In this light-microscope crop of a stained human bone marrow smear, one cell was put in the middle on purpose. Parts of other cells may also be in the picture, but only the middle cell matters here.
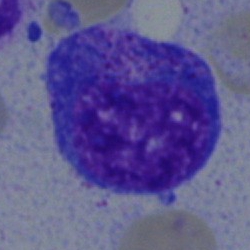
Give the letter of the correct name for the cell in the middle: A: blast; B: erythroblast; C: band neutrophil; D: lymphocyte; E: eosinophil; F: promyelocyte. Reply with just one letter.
F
